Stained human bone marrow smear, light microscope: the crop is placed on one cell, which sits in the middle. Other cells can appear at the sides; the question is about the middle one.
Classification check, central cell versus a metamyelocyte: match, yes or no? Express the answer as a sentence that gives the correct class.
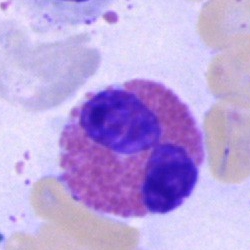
No, the cell at the centre is an eosinophil, which rules out a metamyelocyte.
